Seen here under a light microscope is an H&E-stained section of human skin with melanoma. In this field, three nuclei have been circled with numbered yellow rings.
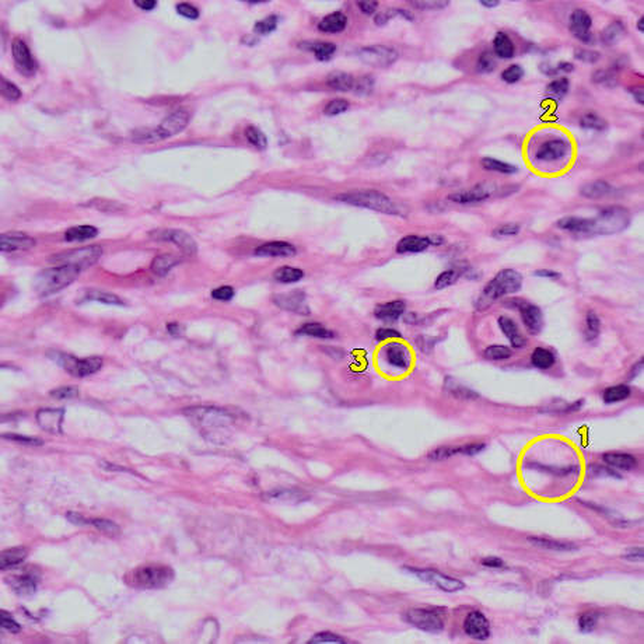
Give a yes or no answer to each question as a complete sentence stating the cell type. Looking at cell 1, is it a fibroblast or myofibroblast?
Yes, number 1 in this section denotes a fibroblast or myofibroblast.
